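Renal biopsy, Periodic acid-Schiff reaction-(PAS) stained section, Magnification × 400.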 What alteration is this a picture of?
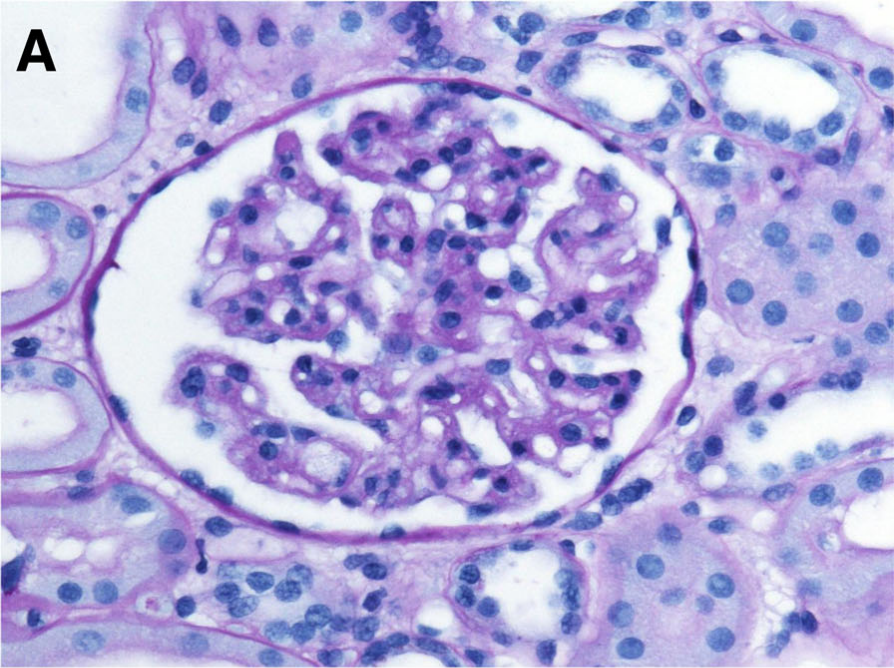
thickened glomerular basement membranes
